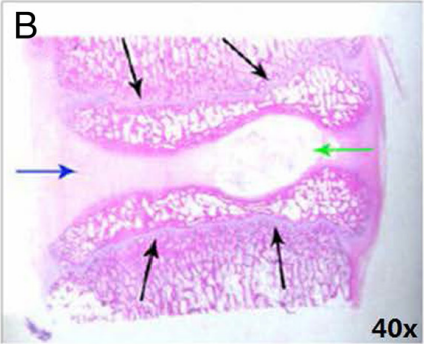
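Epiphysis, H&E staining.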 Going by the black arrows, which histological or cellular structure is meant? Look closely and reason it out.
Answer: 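Epiphyseal plate. The arrows point to thin pale purple bands crossing each bone end. The bands lie between pink trabecular bone on either side.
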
